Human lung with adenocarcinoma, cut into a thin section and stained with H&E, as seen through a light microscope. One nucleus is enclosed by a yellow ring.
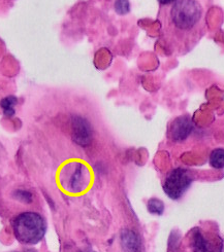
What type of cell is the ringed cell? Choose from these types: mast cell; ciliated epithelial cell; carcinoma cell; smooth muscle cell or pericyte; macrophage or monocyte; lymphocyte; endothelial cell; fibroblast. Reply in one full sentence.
Just put down that the ringed cell is a fibroblast.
